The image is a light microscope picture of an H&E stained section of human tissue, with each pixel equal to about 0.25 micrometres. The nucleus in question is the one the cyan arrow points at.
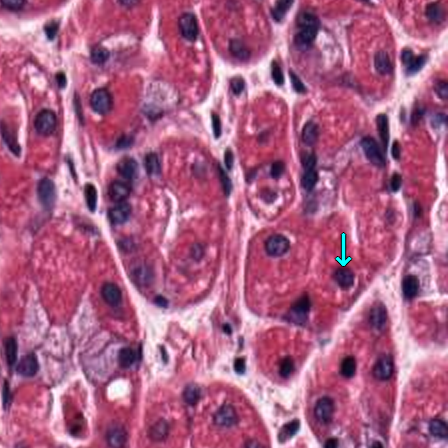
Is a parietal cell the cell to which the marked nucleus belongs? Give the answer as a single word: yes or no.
yes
